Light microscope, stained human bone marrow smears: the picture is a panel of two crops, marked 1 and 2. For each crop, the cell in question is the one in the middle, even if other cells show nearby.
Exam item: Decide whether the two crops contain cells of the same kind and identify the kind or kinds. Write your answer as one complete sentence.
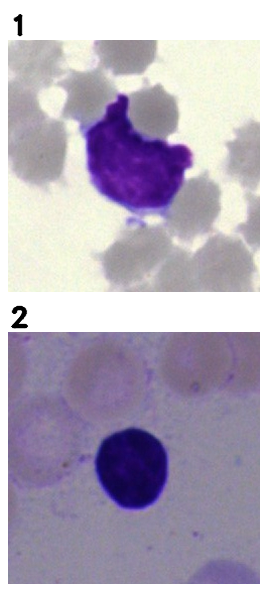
Yes, the cells centred in the two crops are both lymphocytes.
